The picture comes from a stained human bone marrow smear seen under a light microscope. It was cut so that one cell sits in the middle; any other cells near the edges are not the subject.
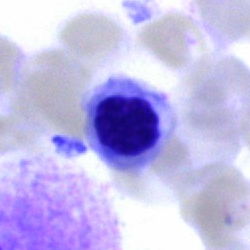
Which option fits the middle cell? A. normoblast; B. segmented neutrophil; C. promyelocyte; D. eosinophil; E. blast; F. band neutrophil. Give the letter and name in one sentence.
The centrally positioned cell is a normoblast, consistent with option A, which is correct.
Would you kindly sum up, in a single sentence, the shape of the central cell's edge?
No surface projections are present; the cell outline is smooth.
